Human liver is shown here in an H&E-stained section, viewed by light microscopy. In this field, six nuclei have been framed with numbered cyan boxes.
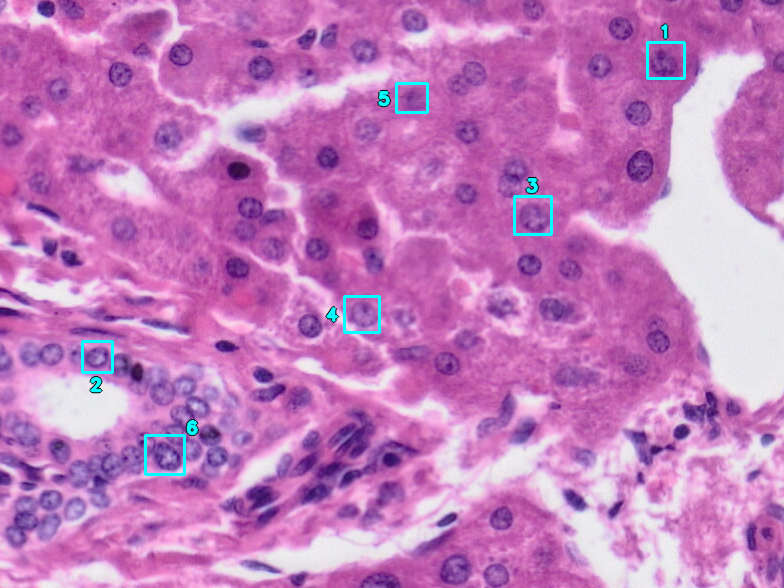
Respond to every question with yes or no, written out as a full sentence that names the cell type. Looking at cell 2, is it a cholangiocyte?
Yes, that one, number 2, is a cholangiocyte.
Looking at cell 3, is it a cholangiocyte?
No, the cell referred to as 3 is a hepatocyte, not a cholangiocyte.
